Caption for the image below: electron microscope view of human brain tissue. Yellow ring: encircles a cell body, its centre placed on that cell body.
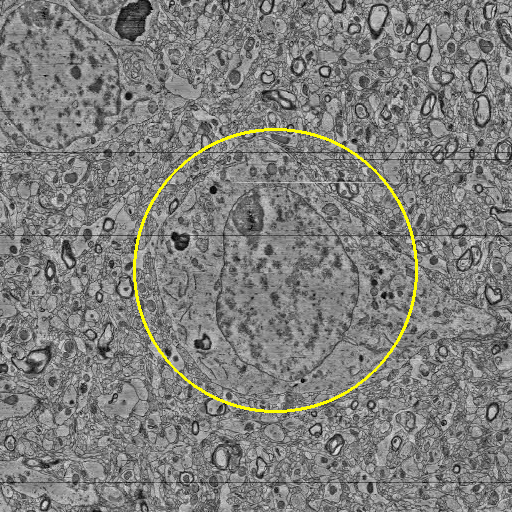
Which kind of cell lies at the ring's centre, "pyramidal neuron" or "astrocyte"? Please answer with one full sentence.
The picture shows a pyramidal neuron at the centre of the yellow ring.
